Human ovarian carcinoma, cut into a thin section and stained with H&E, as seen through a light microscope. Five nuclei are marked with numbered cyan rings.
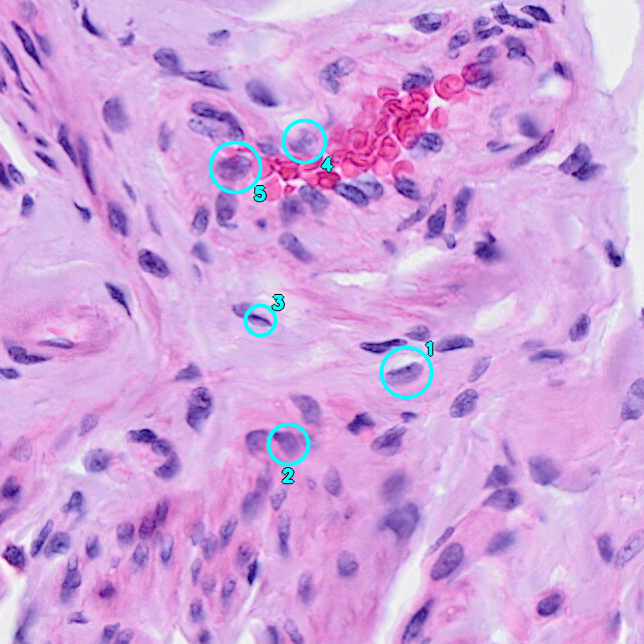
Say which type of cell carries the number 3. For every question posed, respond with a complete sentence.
The cell assigned the number 3 is a fibroblast.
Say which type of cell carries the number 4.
Cell 4, among those numbered, is an endothelial cell.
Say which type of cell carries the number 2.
The correct label for cell 2 is a smooth muscle cell.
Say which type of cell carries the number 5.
Numbered cell 5 is an endothelial cell in this tissue section.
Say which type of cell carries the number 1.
As for number 1, that cell is a fibroblast.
